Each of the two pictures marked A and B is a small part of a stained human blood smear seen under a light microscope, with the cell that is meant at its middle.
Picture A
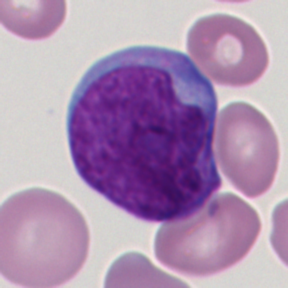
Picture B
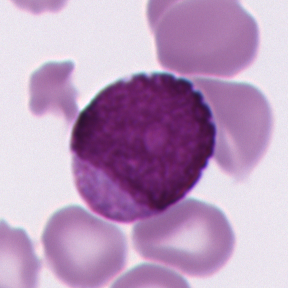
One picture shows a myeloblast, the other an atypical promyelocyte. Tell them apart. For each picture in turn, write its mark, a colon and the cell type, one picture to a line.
A: atypical promyelocyte
B: myeloblast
